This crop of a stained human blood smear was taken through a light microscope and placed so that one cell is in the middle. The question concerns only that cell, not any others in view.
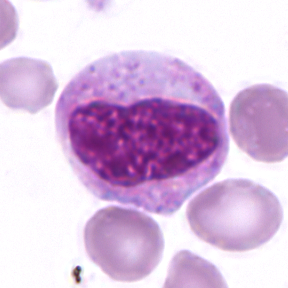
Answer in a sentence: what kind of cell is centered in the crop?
The cell at the centre of the field is a metamyelocyte.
